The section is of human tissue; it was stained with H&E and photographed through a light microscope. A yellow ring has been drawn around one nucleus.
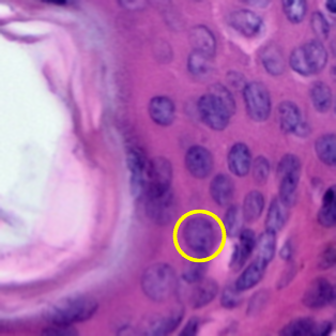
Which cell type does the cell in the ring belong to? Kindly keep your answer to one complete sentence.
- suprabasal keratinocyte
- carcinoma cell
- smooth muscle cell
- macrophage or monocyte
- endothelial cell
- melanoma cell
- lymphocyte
Just put down that the cell in the ring is a suprabasal keratinocyte.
